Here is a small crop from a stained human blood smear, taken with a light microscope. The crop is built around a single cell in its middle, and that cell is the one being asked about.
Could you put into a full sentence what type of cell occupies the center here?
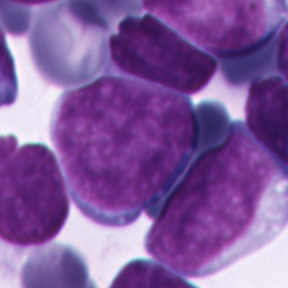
The crop's centre is taken up by a blast.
